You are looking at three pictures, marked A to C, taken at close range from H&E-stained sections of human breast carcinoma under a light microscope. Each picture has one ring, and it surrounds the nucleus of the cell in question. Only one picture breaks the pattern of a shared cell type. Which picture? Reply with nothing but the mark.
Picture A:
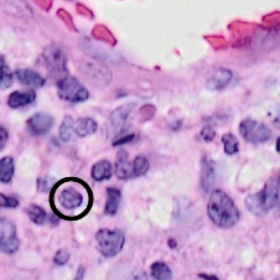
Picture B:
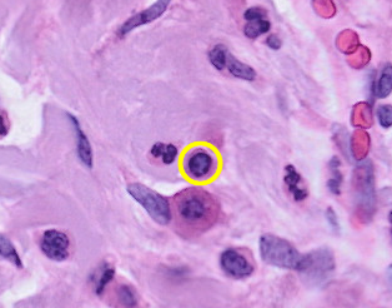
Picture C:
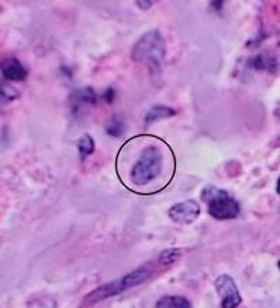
A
